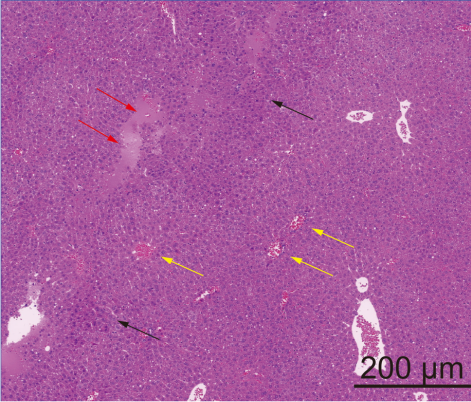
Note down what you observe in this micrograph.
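Unlike a uniform liver, the parenchyma here is patchy: in the upper middle there are pale, washed-out areas where the usual dense nuclear staining is lost, consistent with coagulative necrosis. Elsewhere small clusters of bright red material lie within the tissue, marking hemorrhage, and there are zones where dark purple nuclei are crowded more densely than in the surrounding tissue, consistent with inflammatory cell infiltration.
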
